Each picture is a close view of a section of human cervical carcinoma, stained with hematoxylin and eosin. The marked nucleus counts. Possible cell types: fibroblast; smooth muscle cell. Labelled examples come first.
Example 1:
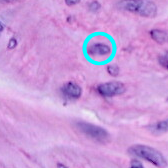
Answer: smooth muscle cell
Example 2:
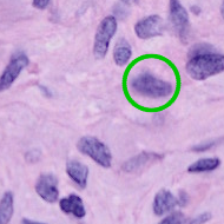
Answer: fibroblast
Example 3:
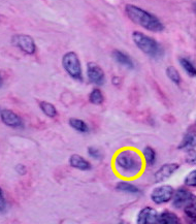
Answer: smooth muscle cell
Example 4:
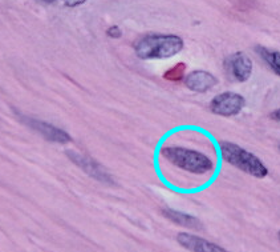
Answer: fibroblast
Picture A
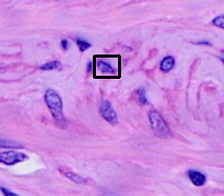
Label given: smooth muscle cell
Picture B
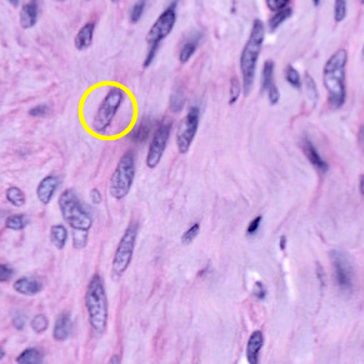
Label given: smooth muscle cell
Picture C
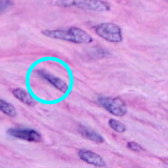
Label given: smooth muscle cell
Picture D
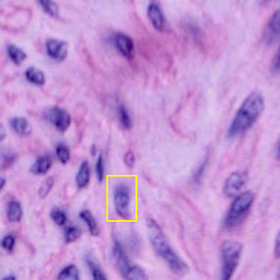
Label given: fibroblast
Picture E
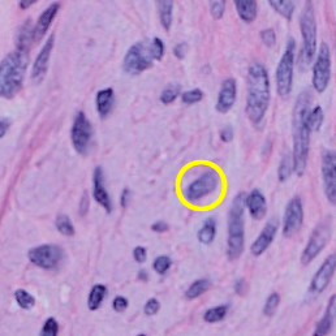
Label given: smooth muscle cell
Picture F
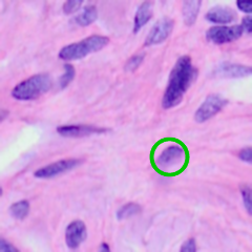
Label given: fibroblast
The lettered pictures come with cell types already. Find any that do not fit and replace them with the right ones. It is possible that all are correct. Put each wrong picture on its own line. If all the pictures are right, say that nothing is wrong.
Wrong: D (fibroblast); correct: smooth muscle cell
